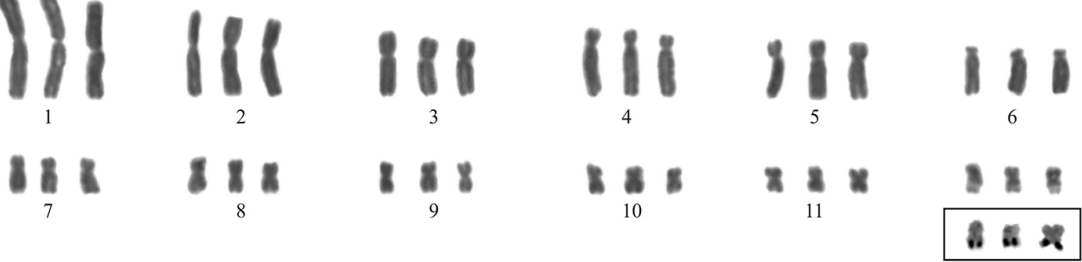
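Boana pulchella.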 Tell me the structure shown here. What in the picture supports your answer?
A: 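Karyotype. Chromosomes are cut out and lined up in numbered groups. Groups are ordered from largest to smallest.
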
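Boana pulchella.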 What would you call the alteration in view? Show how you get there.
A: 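Triploid. Each numbered group holds three chromosomes rather than two. The three chromosomes in each group match in size and shape.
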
